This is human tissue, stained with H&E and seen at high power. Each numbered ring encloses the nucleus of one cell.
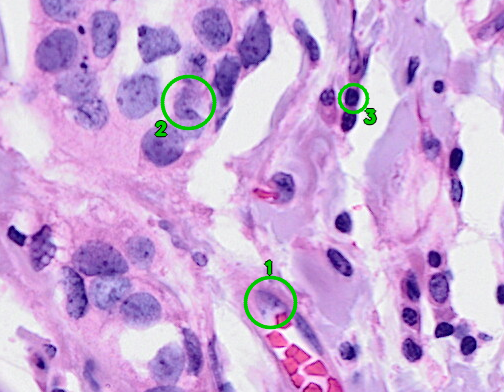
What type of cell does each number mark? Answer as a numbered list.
1. endothelial cell
2. carcinoma cell
3. lymphocyte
